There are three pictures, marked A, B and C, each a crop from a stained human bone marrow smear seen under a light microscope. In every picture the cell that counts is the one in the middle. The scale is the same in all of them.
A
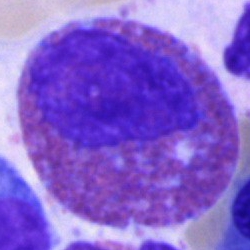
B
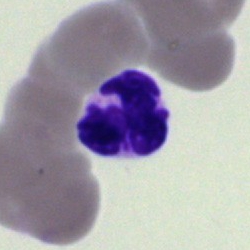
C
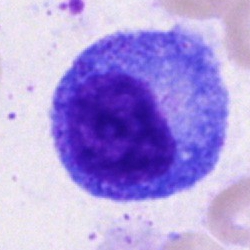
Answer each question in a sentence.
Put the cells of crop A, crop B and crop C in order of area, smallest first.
From the smallest up, the order is B, C, A.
